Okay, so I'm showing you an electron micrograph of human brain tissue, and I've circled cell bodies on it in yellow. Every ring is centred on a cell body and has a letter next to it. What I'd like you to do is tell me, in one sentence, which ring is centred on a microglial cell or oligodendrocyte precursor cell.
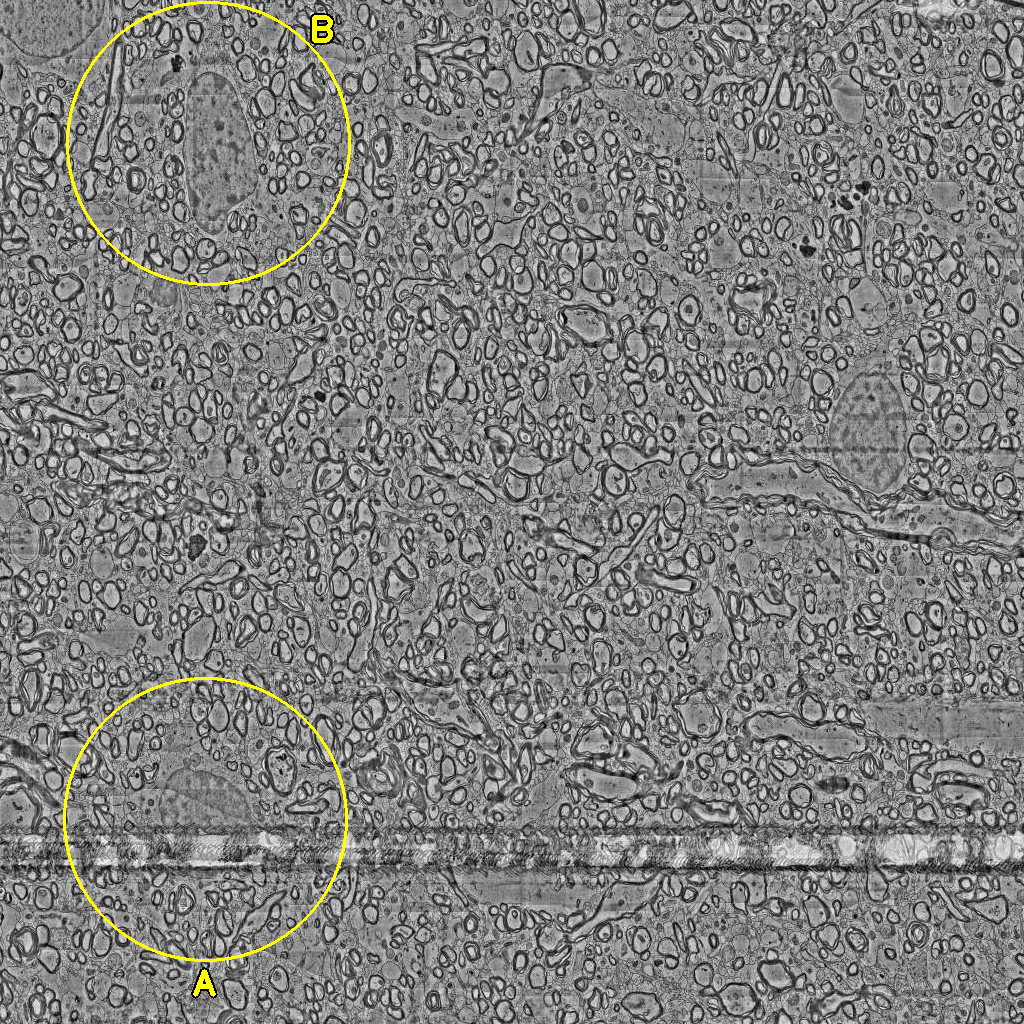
It's ring B.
